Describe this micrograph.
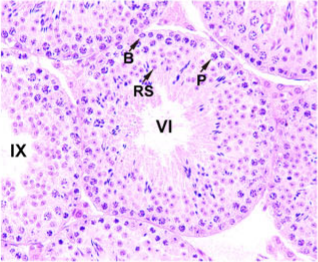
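Cross-sections of seminiferous tubules whose epithelium holds several layers of spermatogenic cells at different stages, stained purple and pink. Small spermatogonia sit on the basement membrane, large spermatocytes with coarse chromatin lie above them, then round spermatids with pale round nuclei, and elongating spermatids with slender dark heads face the central lumen. Thin interstitial tissue separates the neighbouring tubules.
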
